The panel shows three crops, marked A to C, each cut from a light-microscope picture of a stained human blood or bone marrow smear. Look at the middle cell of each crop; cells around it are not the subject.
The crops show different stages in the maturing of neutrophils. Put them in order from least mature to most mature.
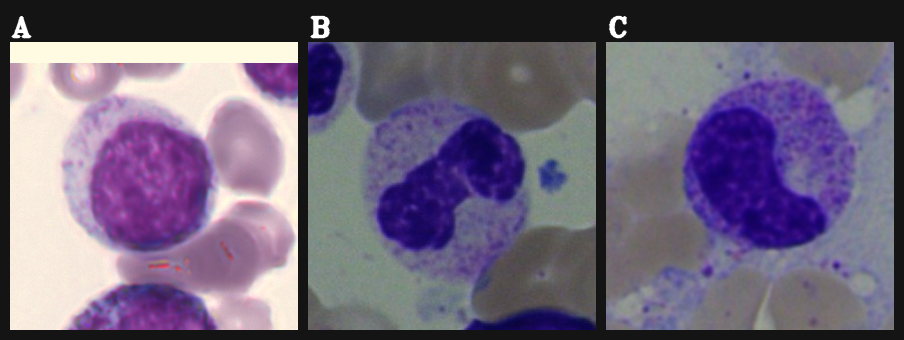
A, C, B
